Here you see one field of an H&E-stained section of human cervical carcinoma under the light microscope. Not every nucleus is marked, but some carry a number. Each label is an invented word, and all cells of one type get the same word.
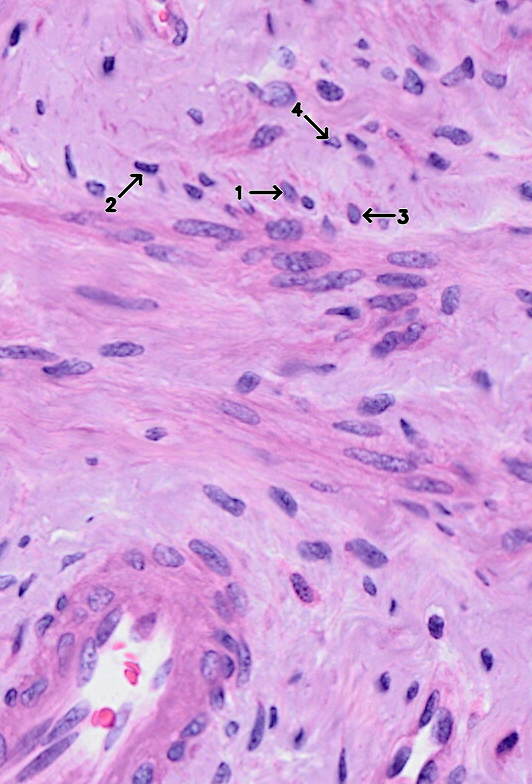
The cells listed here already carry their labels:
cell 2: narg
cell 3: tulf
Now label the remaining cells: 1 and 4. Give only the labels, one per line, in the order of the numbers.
tulf
narg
